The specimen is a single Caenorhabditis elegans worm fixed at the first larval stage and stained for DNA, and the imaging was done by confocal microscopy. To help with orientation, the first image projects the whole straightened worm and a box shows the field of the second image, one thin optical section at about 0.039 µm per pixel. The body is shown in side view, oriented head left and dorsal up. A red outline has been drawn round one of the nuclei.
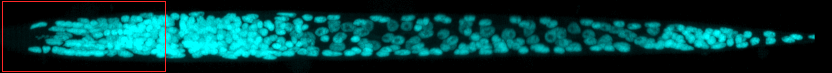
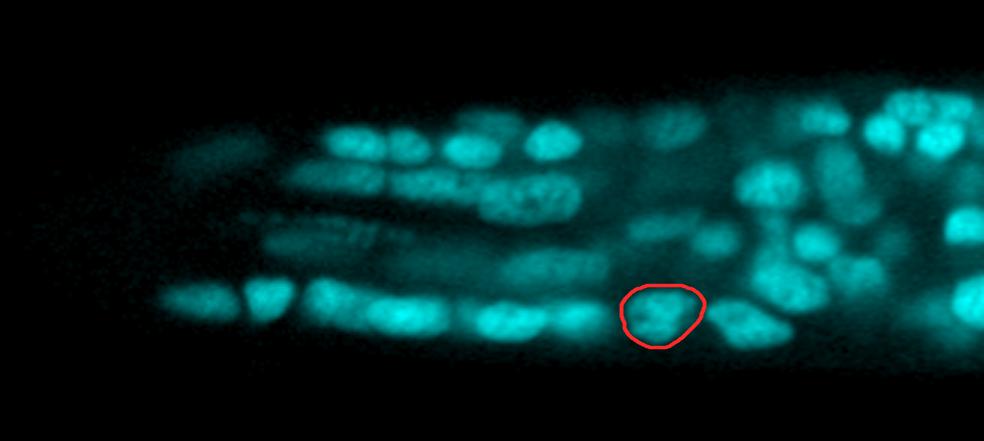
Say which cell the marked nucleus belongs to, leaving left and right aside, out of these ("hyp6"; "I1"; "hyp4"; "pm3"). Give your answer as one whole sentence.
The marked nucleus belongs to hyp6, a hypodermal cell (hyp).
